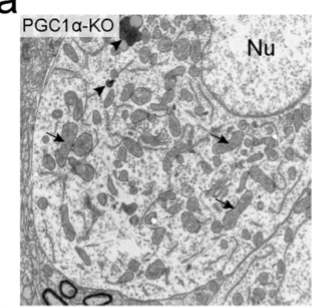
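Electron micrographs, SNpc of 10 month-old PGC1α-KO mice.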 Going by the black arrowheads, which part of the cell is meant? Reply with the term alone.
lipofuscin granules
